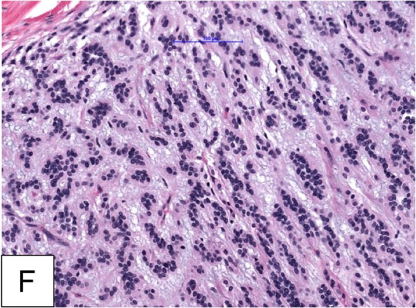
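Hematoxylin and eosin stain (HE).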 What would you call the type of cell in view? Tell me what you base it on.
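Bland ovoid tumor cells. Uniform small round to ovoid dark nuclei. No marked variation in nuclear size or shape. Cells lie in cords within pale pink to bluish matrix.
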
